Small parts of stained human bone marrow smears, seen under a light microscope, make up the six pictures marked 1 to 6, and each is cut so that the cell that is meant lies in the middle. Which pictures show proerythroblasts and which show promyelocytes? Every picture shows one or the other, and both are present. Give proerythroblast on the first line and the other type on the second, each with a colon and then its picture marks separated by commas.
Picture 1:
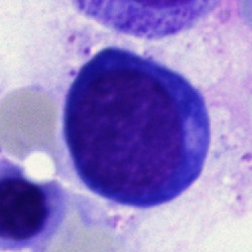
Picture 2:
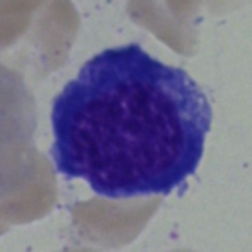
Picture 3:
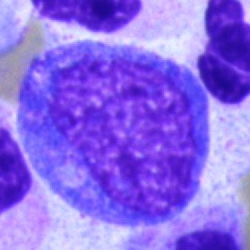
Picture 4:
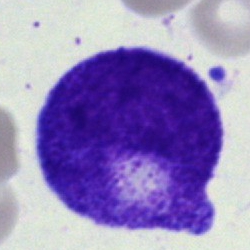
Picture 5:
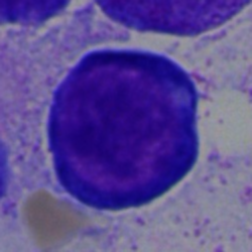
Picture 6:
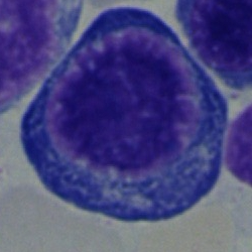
proerythroblast: 1, 2, 5, 6
promyelocyte: 3, 4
